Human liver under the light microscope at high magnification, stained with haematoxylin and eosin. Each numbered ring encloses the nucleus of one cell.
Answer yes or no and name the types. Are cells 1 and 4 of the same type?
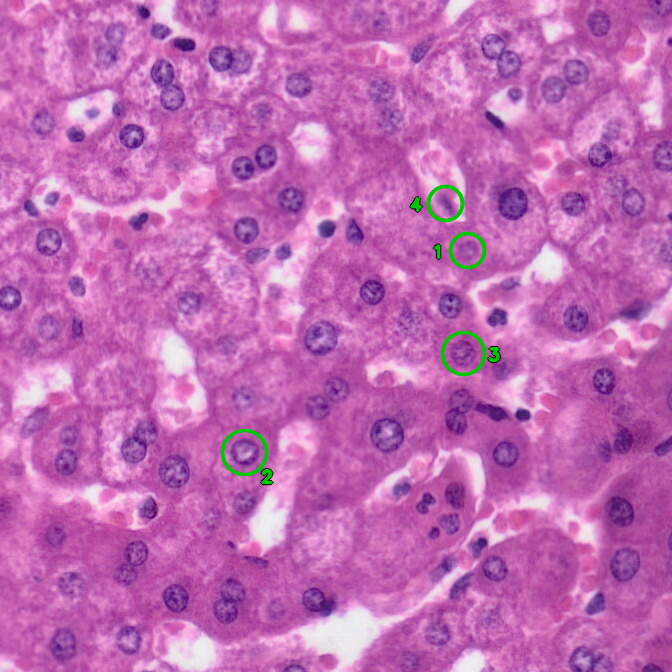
No, the cell marked 1 is a hepatocyte, and the cell marked 4 is a Kupffer cell.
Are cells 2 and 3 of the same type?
Yes, both cells 2 and 3 are hepatocytes.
